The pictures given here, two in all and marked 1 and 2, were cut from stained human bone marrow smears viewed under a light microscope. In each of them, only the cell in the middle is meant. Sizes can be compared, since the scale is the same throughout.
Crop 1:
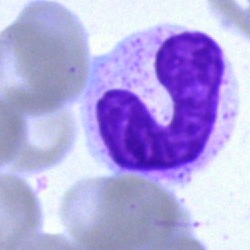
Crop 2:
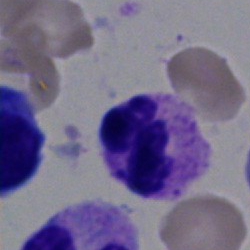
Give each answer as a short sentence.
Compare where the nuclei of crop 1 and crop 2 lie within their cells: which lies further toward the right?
The nucleus in crop 1 lies further toward the right of its cell.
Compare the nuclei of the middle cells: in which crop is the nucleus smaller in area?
It is the nucleus in crop 2; the one in crop 1 has about 2.5 times its area.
